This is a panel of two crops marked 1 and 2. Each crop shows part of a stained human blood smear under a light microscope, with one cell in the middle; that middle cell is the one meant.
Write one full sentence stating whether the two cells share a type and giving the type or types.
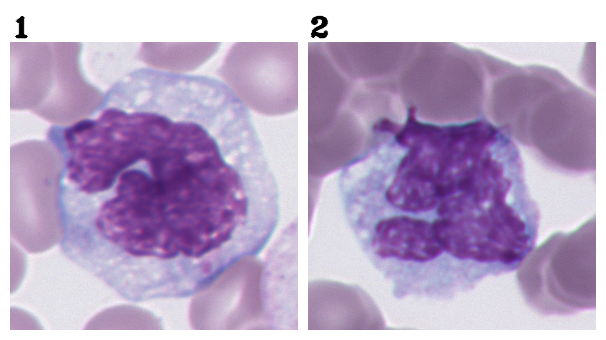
Yes, the cells at the centre of the two crops are both monocytes.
